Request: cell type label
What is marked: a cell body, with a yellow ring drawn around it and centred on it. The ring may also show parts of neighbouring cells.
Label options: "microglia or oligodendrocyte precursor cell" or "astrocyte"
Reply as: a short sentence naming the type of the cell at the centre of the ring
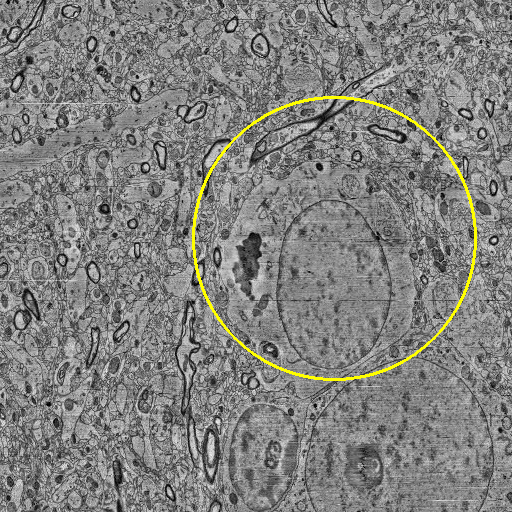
The marked cell body is that of an astrocyte.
